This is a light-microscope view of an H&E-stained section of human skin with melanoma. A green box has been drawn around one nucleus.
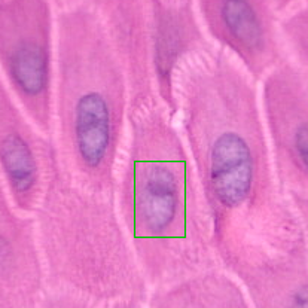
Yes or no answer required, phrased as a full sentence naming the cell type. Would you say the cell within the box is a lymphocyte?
No, the cell within the box represents a keratinocyte and does not represent a lymphocyte.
